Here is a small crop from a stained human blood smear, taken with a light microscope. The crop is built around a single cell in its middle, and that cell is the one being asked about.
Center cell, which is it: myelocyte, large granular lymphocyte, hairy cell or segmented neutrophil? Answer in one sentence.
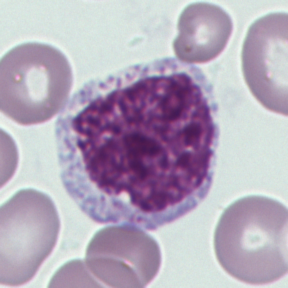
The cell the crop is centered on is a myelocyte.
